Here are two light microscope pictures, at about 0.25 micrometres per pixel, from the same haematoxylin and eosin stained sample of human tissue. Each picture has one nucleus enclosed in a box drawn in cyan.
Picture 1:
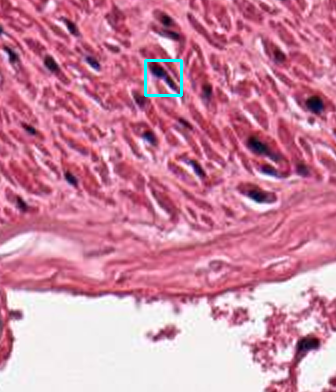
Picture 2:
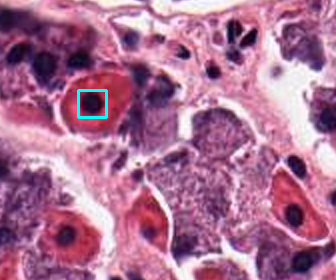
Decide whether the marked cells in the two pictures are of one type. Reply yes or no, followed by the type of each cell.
No, the first is a smooth muscle cell and the second a parietal cell.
